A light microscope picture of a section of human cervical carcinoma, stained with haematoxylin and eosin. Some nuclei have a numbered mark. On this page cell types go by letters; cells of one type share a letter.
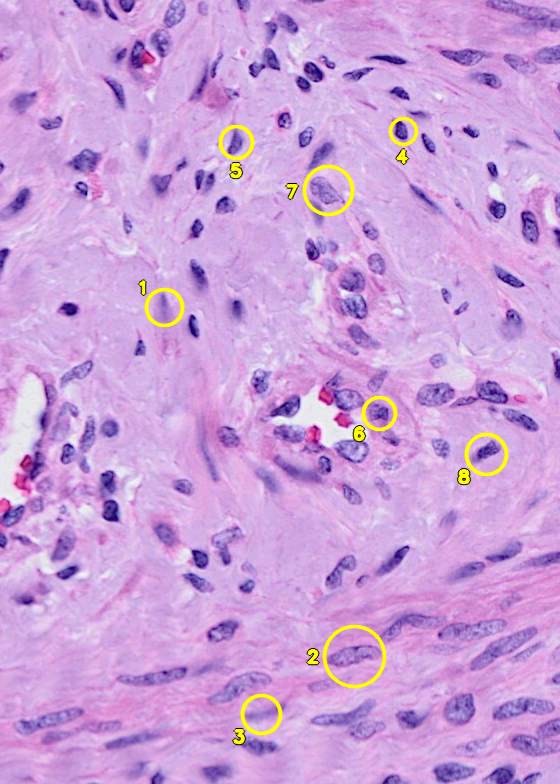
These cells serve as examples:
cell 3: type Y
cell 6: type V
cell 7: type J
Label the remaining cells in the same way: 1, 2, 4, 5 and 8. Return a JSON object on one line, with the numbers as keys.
{"1": "type J", "2": "type Y", "4": "type J", "5": "type J", "8": "type J"}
